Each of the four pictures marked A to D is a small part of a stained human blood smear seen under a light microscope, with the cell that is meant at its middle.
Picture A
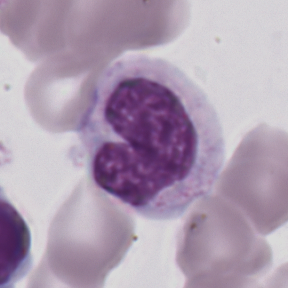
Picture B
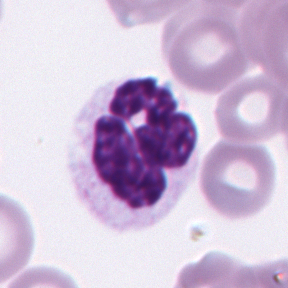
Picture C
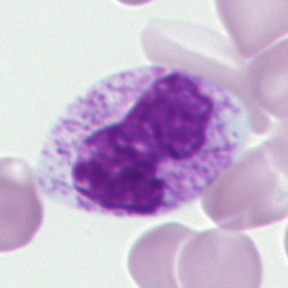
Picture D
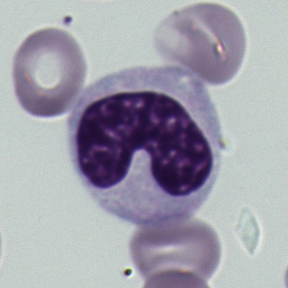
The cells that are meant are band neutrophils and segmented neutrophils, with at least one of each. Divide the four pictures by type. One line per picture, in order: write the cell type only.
band neutrophil
segmented neutrophil
band neutrophil
band neutrophil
